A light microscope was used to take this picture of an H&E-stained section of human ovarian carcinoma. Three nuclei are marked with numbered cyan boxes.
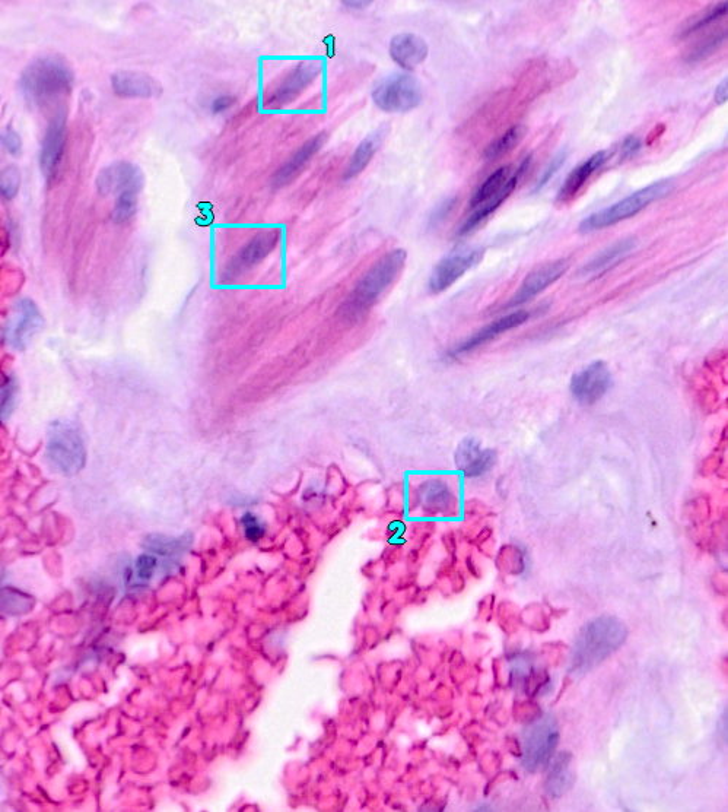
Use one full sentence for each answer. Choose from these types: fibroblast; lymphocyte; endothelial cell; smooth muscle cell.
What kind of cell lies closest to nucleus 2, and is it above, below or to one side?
Just above and to the right of nucleus 2 lies the nearest nucleus, which belongs to a fibroblast.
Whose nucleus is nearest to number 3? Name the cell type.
The cell nearest to number 3 is a smooth muscle cell.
